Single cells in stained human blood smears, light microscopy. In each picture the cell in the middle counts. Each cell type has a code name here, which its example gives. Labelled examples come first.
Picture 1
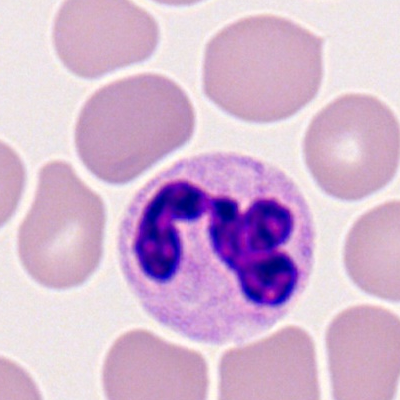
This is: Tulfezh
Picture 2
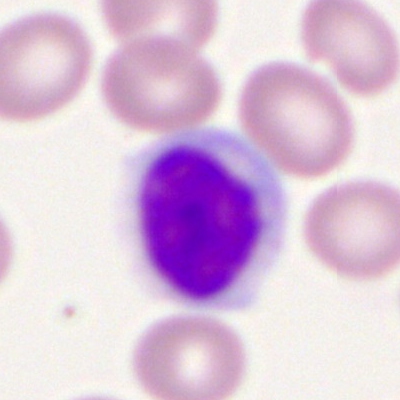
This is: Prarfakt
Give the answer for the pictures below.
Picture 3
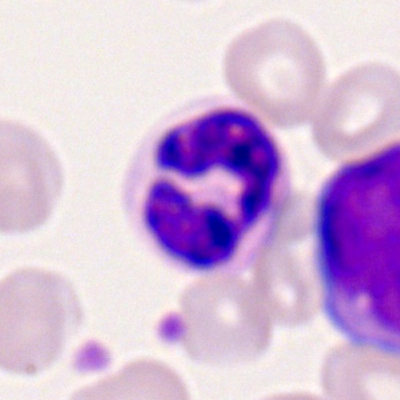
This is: Tulfezh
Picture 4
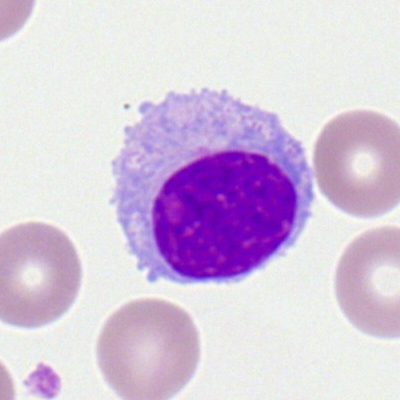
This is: Prarfakt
